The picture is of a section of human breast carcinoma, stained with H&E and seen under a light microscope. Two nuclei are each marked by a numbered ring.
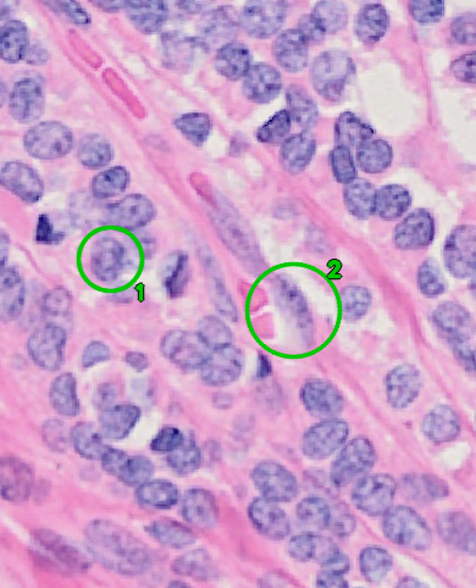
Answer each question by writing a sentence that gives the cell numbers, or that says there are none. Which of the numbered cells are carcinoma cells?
Exactly one of the numbered cells is a carcinoma cell, namely cell 1.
